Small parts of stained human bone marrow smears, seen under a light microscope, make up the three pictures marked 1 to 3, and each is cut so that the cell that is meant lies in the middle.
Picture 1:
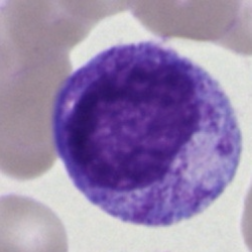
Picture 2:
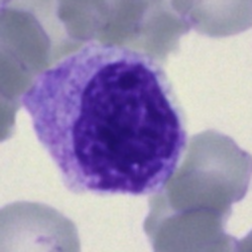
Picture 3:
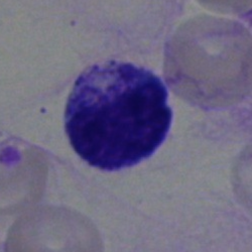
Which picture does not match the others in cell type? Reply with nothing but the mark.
1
